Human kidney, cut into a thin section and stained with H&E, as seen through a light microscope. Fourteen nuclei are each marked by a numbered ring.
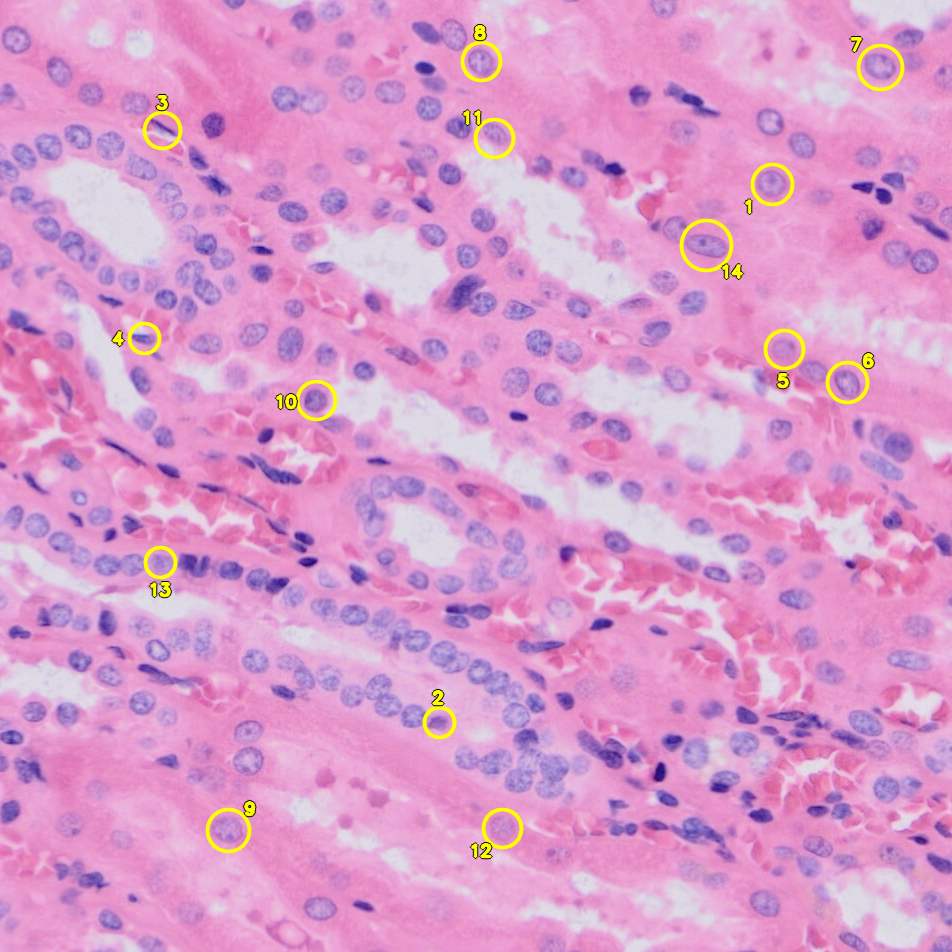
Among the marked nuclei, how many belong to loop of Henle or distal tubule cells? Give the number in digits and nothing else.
2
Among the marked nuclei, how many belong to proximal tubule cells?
8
